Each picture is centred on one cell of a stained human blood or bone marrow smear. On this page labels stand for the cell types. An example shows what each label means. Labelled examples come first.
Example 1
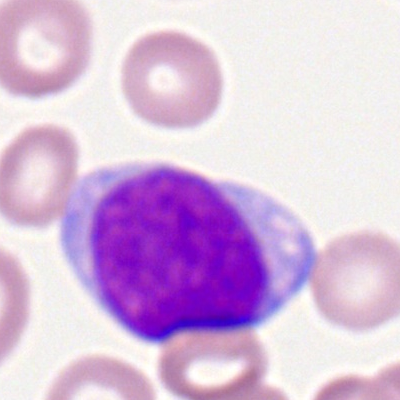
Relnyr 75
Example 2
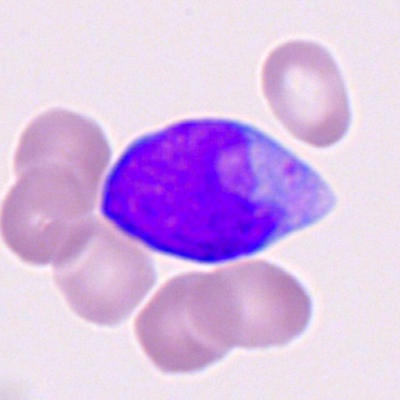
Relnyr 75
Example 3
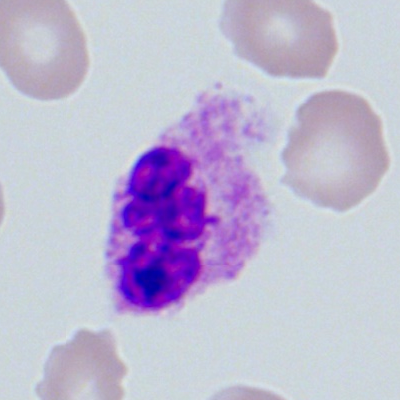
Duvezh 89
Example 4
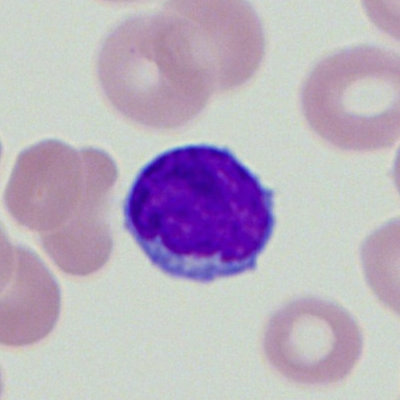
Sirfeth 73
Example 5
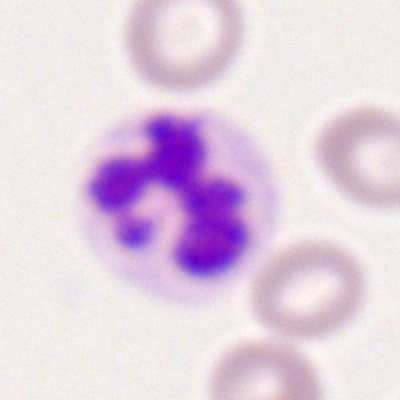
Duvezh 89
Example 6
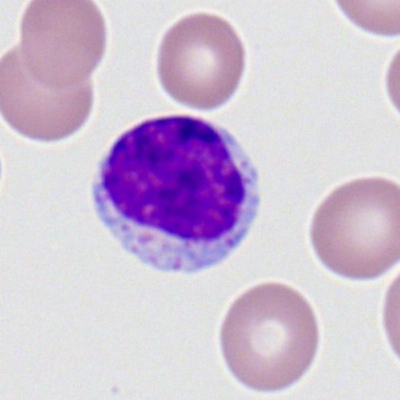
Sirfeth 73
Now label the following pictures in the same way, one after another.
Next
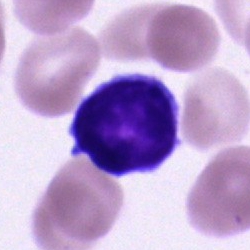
Sirfeth 73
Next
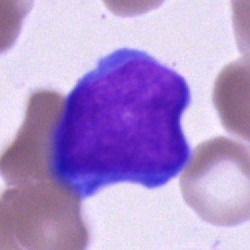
Relnyr 75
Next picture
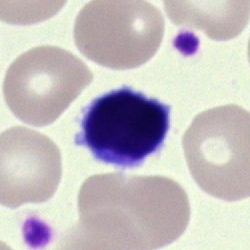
Sirfeth 73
